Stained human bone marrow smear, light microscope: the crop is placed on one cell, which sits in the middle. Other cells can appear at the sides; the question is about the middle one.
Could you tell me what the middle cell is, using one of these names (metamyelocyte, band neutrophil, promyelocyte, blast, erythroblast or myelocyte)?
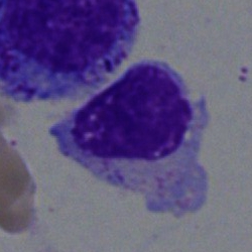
myelocyte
